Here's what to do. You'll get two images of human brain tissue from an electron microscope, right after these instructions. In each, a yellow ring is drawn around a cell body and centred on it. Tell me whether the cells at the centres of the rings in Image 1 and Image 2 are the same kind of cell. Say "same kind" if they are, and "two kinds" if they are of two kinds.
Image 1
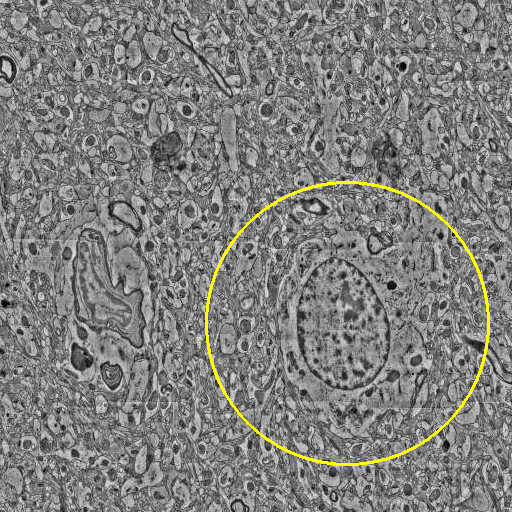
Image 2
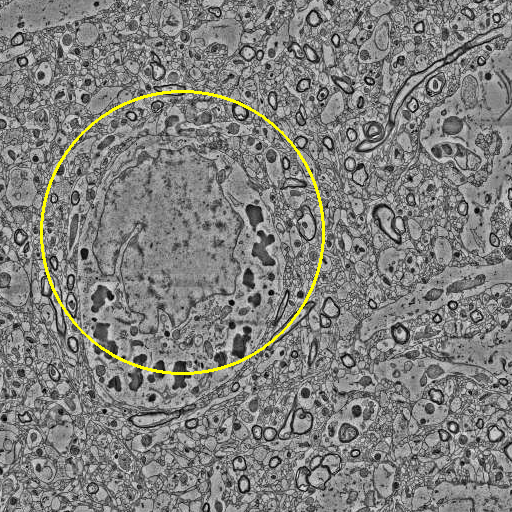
two kinds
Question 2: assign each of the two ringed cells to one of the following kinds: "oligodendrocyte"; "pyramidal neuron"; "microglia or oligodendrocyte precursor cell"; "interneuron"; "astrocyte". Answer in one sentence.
The two cells are an astrocyte in the first picture and an interneuron in the second.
